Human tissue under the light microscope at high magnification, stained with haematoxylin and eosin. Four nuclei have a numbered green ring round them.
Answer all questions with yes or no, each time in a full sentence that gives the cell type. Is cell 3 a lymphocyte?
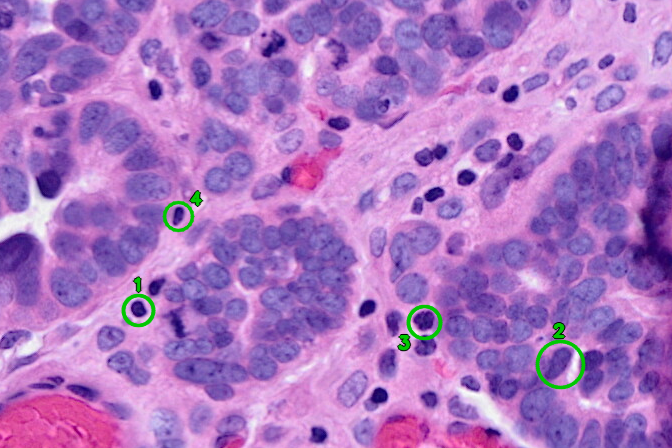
Yes, the cell denoted by 3 is a lymphocyte.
